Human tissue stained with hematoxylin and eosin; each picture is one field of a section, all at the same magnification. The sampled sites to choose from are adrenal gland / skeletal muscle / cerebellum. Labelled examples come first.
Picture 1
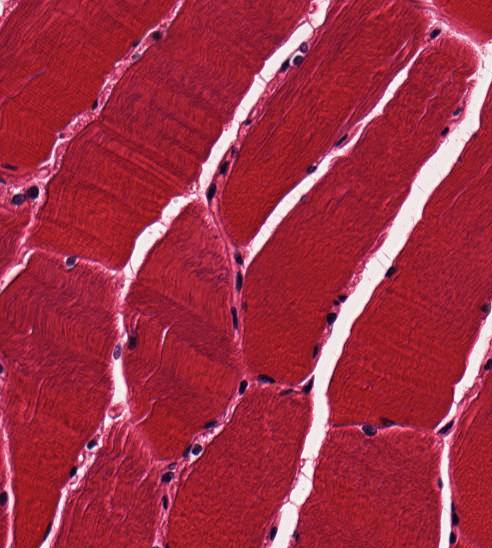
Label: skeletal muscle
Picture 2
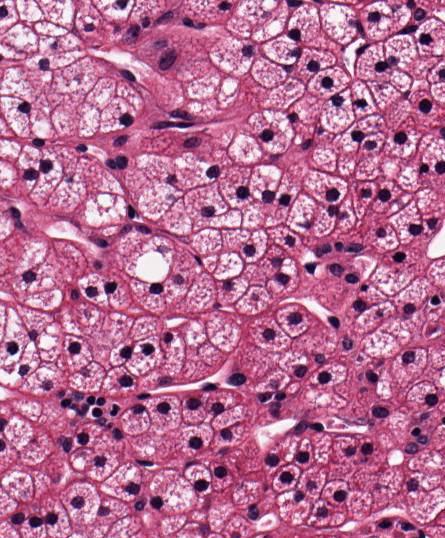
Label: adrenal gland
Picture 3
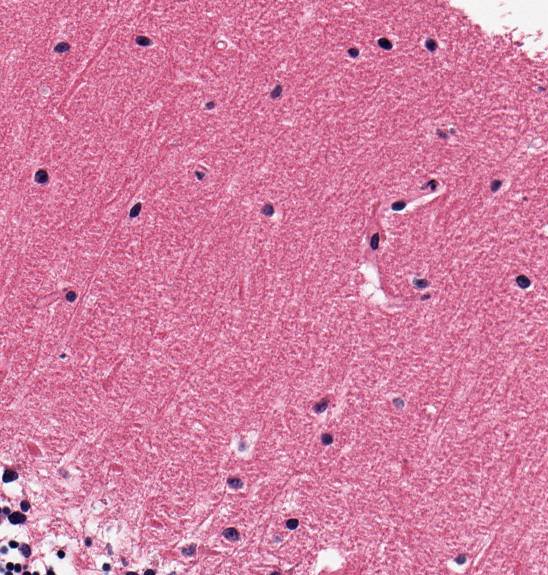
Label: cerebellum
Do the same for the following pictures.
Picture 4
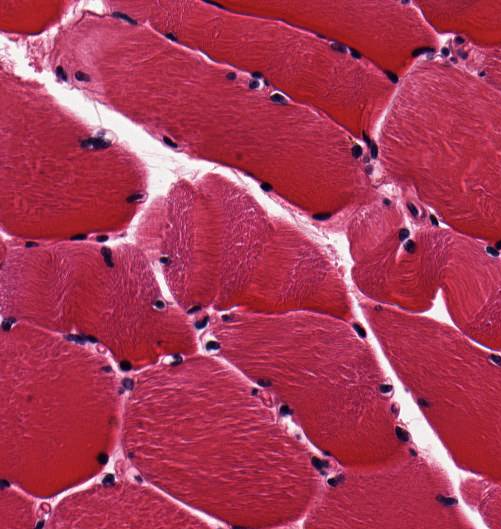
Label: skeletal muscle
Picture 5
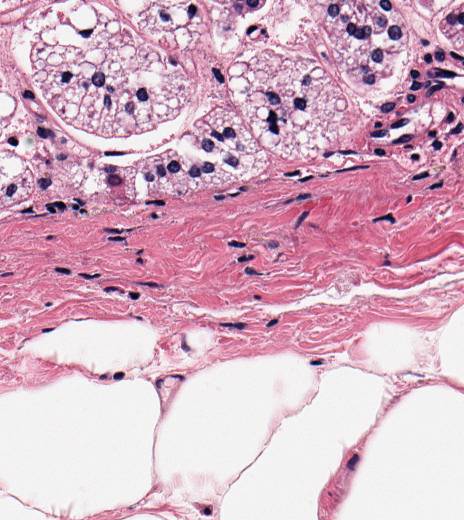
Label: adrenal gland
